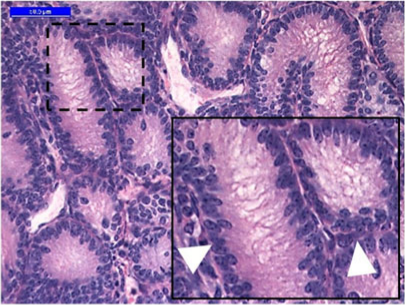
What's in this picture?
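This section of testis shows seminiferous tubules, many of which are Sertoli cell-only tubules. The centres of the tubules are no longer filled with layered cells but contain pale pink, loose, fibrillar material. Between tubules lie narrow strands of tissue with flattened nuclei. In the enlarged framed area the tubule rim of closely set nuclei can be seen clearly around the pale centre, marking the loss of the multilayered cell population.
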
